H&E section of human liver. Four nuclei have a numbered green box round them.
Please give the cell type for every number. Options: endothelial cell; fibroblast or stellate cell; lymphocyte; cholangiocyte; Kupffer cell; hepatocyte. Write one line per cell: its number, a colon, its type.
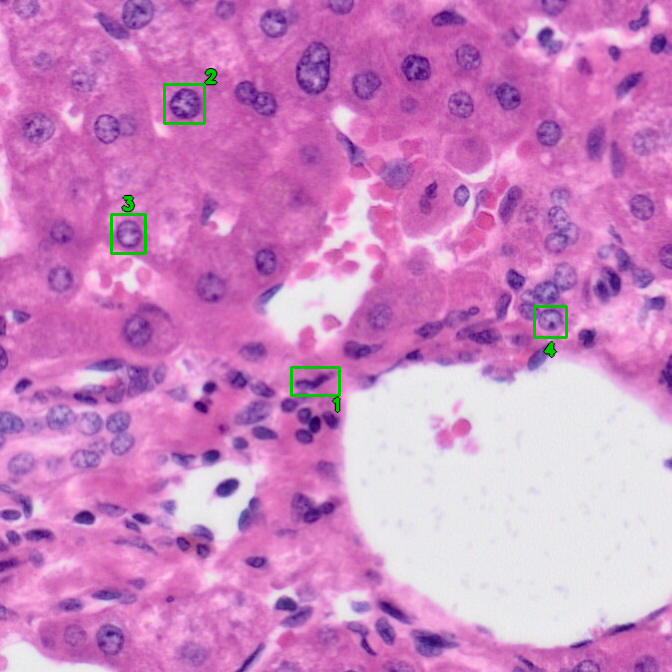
1: fibroblast or stellate cell
2: hepatocyte
3: hepatocyte
4: cholangiocyte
